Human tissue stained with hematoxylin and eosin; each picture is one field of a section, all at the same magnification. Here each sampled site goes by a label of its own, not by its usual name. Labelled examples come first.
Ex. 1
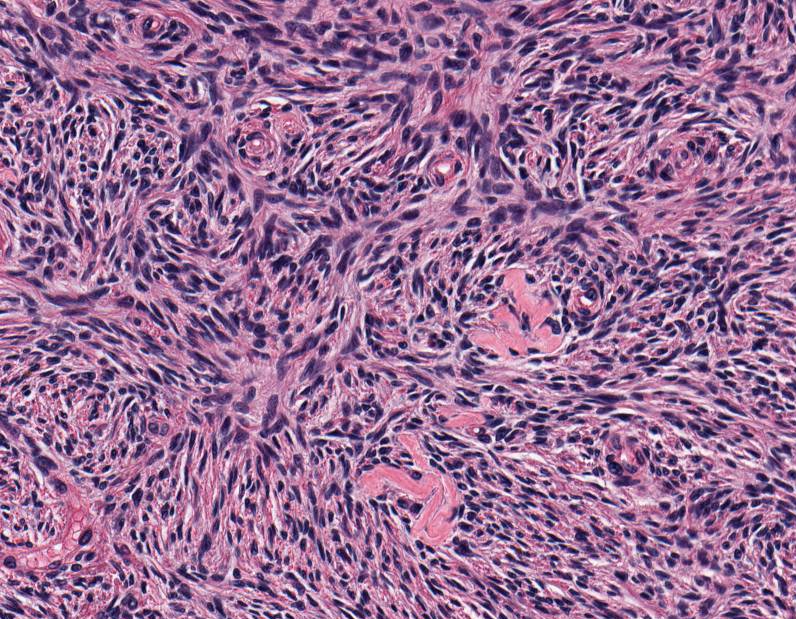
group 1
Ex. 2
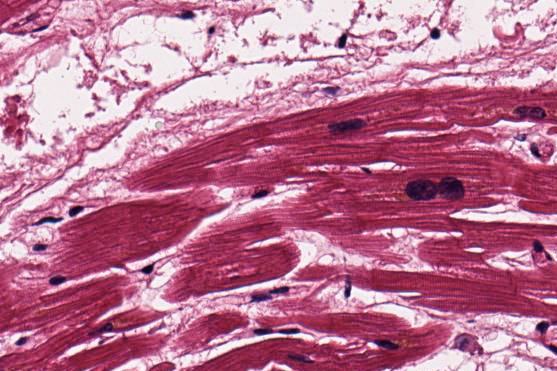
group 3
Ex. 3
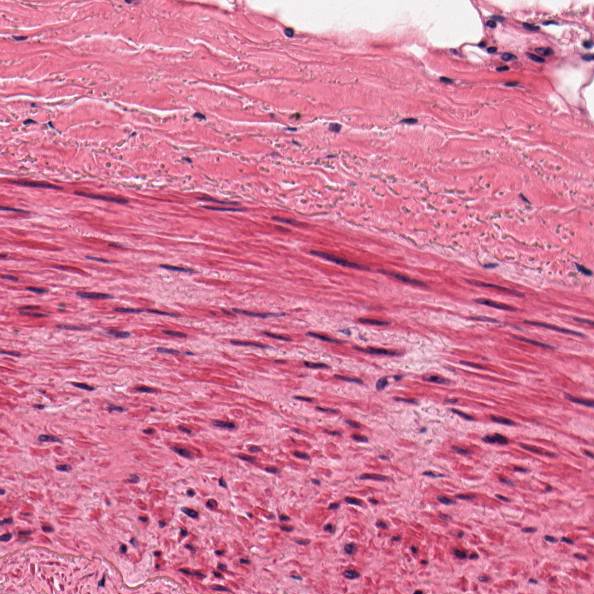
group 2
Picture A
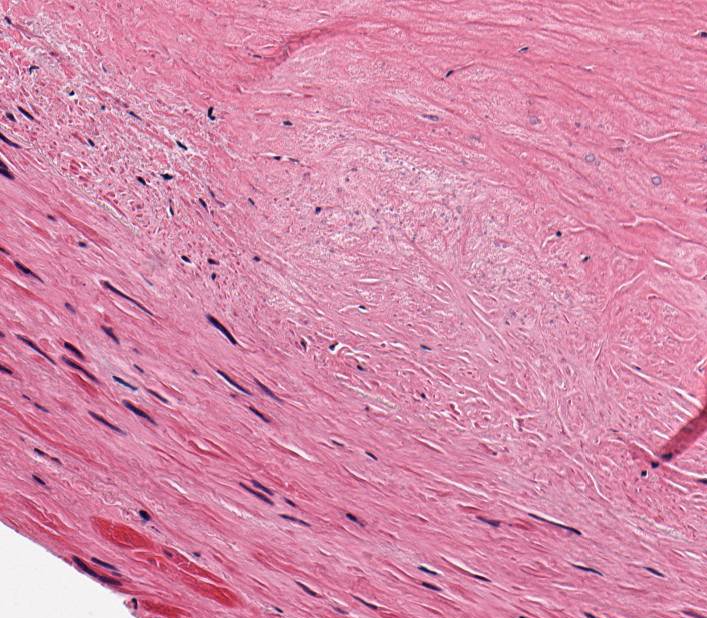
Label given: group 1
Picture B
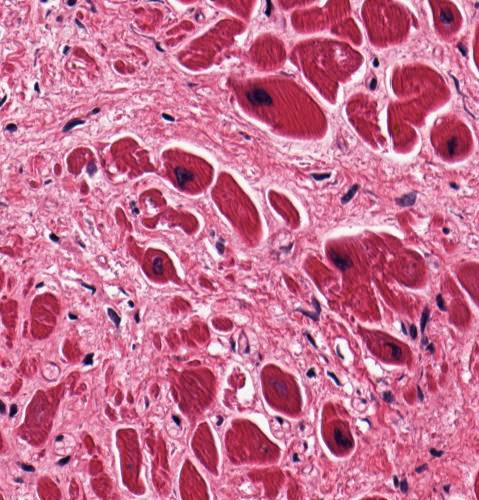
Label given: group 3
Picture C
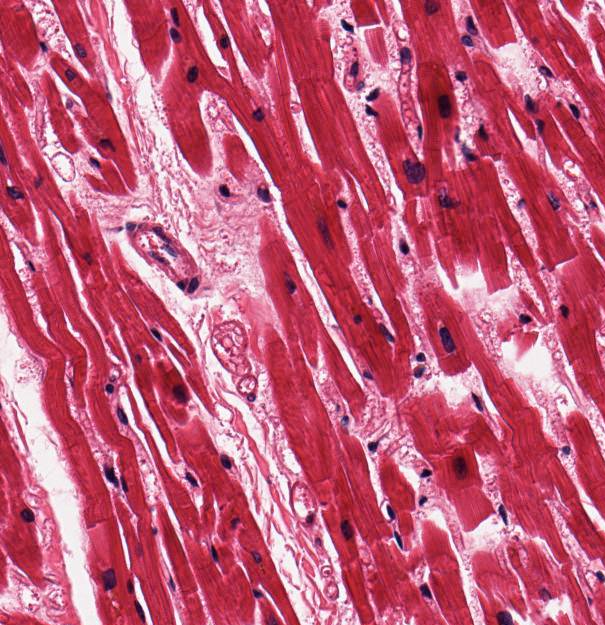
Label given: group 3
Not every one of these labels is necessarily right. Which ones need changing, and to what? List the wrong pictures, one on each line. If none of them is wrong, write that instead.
A should be group 2, not group 1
